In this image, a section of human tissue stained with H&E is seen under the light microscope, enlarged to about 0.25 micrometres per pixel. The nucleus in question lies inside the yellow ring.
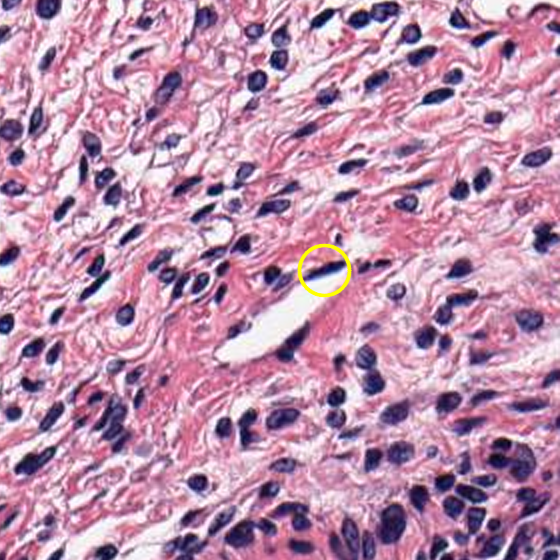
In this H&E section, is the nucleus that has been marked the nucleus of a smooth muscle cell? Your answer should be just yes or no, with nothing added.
no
